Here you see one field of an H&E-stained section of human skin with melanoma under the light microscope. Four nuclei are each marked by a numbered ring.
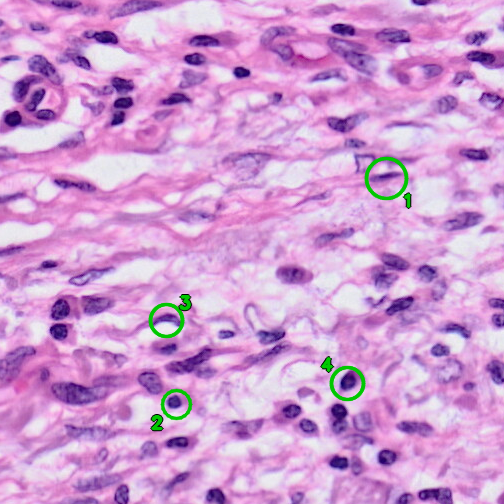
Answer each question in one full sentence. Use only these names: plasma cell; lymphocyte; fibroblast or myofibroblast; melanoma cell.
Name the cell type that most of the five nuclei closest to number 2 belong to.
Around number 2, most of the five nearest nuclei are those of plasma cells.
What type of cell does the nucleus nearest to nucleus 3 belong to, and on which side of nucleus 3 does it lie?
Just below nucleus 3 lies the nearest nucleus, which belongs to a plasma cell.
